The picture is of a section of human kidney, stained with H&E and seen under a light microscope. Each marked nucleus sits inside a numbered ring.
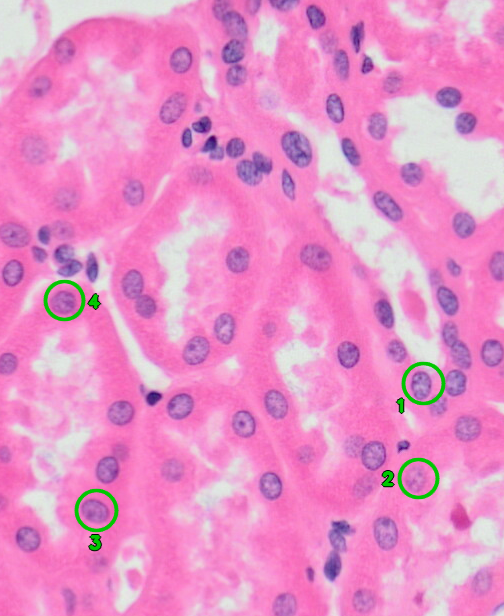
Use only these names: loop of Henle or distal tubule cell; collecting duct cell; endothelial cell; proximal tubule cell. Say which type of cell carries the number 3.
proximal tubule cell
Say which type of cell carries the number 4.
proximal tubule cell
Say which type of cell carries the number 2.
proximal tubule cell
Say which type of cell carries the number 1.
collecting duct cell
